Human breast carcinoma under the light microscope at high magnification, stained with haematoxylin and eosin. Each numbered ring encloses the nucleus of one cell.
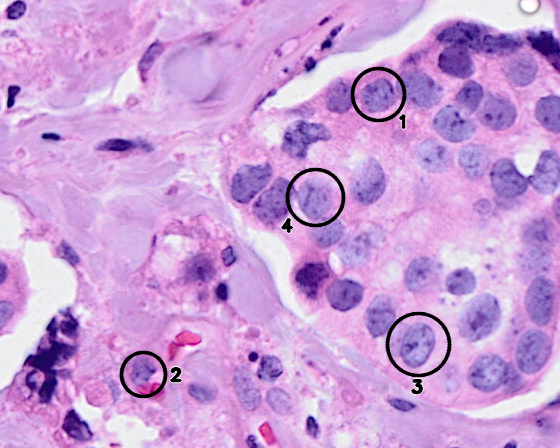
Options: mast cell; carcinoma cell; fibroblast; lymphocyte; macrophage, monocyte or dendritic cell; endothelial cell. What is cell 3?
carcinoma cell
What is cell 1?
carcinoma cell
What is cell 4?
carcinoma cell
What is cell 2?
endothelial cell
